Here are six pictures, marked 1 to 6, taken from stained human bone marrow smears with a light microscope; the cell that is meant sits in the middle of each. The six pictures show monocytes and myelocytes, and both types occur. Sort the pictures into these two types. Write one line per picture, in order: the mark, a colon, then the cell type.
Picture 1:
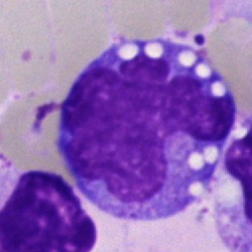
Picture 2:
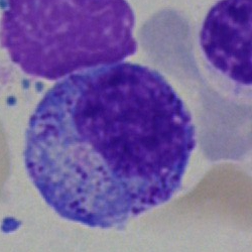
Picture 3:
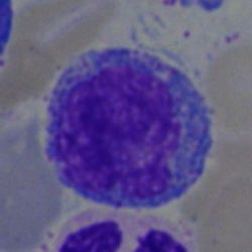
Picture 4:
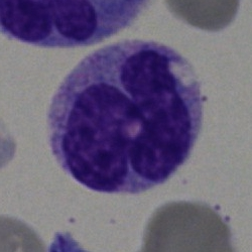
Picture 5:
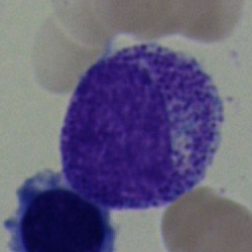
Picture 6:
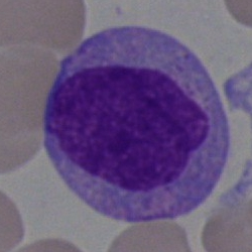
1: monocyte
2: myelocyte
3: monocyte
4: monocyte
5: myelocyte
6: monocyte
